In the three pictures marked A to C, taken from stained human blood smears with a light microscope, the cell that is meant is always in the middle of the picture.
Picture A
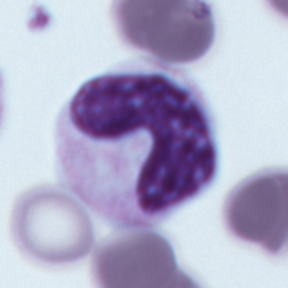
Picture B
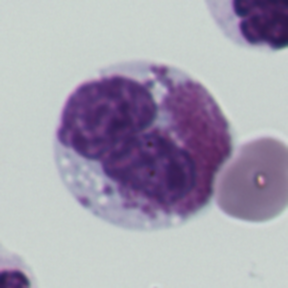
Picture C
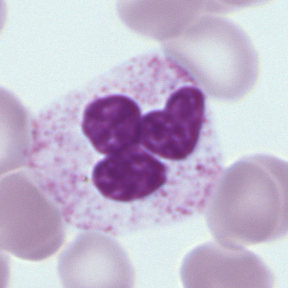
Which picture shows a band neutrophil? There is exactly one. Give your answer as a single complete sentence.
The band neutrophil is the one in picture A.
